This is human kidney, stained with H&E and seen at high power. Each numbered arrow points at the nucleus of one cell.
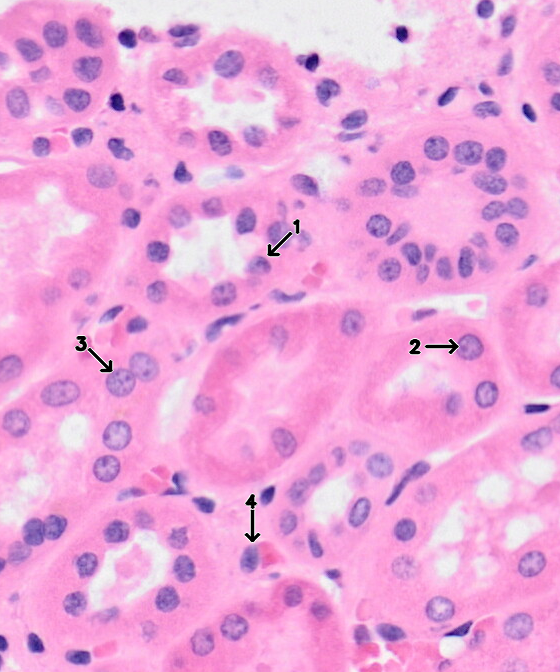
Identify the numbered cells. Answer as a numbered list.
1. loop of Henle or distal tubule cell
2. proximal tubule cell
3. proximal tubule cell
4. endothelial cell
